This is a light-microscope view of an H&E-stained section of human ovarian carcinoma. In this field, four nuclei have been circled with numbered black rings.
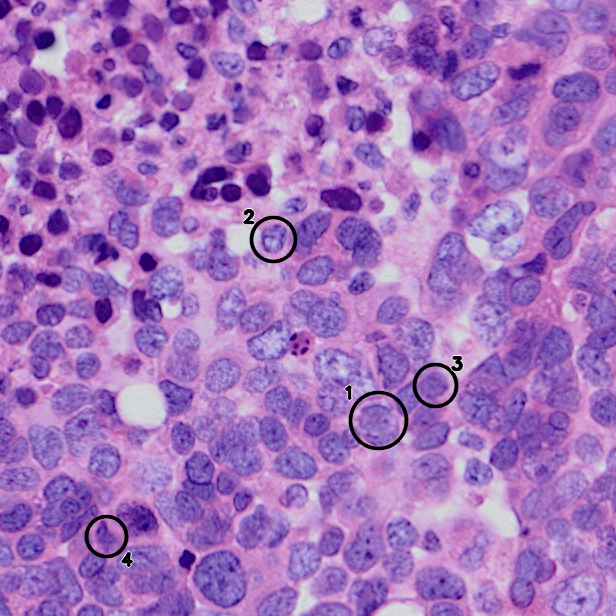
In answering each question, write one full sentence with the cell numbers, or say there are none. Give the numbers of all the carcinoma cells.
The cells to which the numbers 1, 3 and 4 refer are carcinoma cells.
